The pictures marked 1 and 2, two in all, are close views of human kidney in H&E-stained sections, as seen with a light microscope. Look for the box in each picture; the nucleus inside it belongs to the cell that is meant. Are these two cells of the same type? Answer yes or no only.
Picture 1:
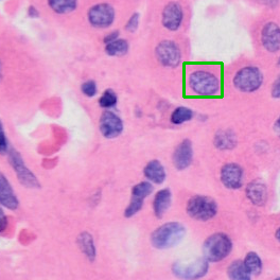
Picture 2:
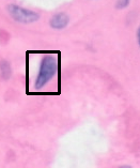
no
